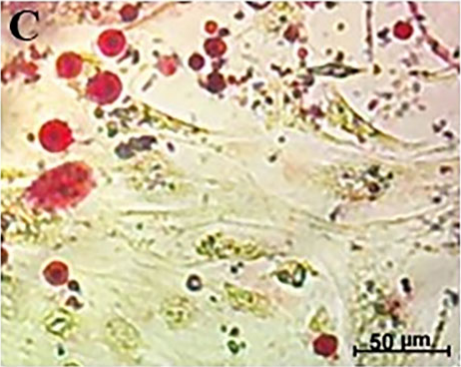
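Flattened, elongated cells with pale cytoplasm spread across the field in loosely parallel arrangement. Numerous round droplets stain bright red, ranging from tiny dots to large spheres. Some large droplets stand singly while smaller ones gather in clusters within the cells. Yellowish-green granular material is scattered among the cells.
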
